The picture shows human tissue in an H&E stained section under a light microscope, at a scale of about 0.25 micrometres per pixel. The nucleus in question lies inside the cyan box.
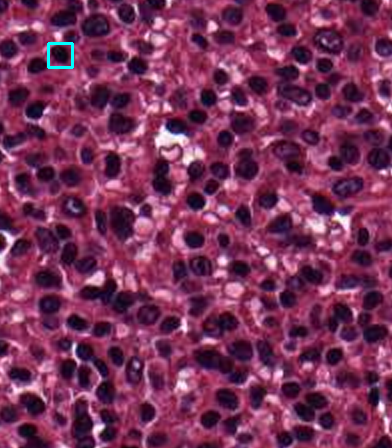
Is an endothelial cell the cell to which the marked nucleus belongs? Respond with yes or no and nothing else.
no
